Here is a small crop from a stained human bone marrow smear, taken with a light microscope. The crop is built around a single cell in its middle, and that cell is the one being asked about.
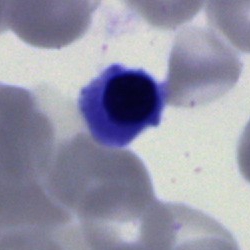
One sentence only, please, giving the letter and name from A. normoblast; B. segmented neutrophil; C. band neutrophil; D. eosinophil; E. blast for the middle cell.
According to option A, which is correct, the cell in the middle is a normoblast.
